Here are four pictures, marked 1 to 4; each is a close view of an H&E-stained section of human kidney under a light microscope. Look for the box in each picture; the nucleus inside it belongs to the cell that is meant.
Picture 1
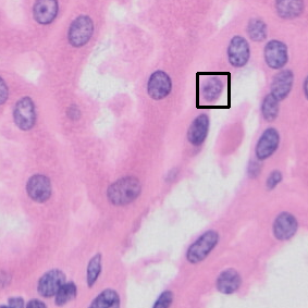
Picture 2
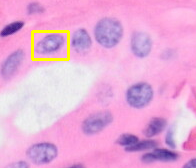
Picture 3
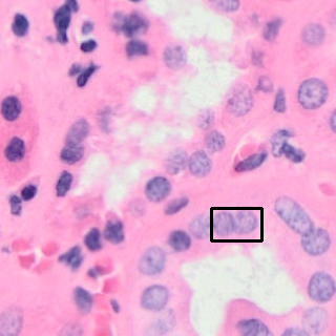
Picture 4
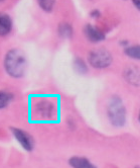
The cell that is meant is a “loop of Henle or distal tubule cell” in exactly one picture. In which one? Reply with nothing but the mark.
4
